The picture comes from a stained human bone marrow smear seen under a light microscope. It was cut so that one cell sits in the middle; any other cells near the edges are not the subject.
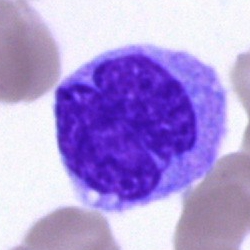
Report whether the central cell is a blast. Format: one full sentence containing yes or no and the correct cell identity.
No, the identification should read a monocyte, not a blast, for the central cell.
